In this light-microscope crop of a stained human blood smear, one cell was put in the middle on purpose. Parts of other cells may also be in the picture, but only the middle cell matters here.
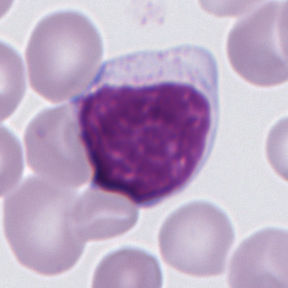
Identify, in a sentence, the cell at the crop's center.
The centrally located cell in the crop is a large granular lymphocyte.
